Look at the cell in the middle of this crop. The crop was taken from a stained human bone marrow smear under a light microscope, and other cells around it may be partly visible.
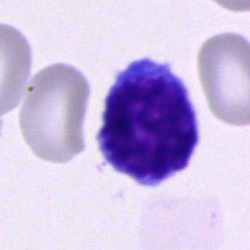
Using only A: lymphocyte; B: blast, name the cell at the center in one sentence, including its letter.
Option A is accurate; the centrally placed cell is a lymphocyte.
